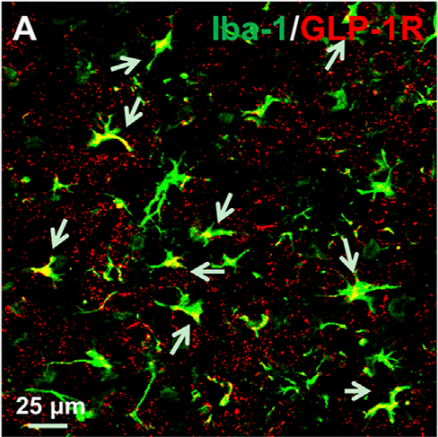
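The cells are scattered fairly evenly across the field and mostly stay apart from one another. Fine red dots are spread throughout the background between the cells. Where the red overlaps the green, chiefly over the cell bodies and the bases of the processes, the cells appear yellow, and arrows point to several such cells.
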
